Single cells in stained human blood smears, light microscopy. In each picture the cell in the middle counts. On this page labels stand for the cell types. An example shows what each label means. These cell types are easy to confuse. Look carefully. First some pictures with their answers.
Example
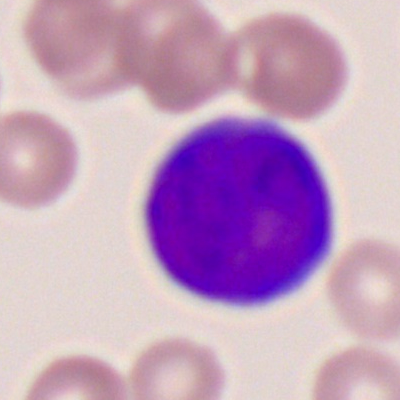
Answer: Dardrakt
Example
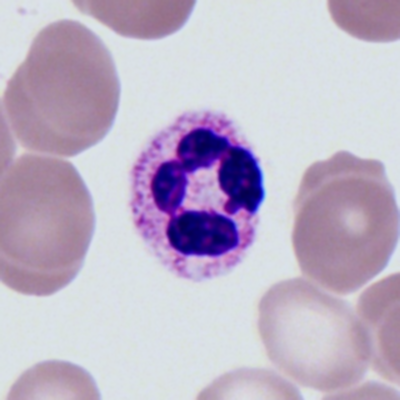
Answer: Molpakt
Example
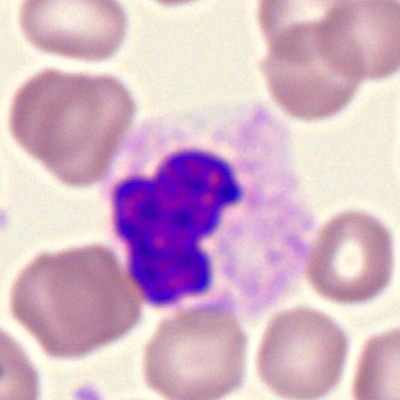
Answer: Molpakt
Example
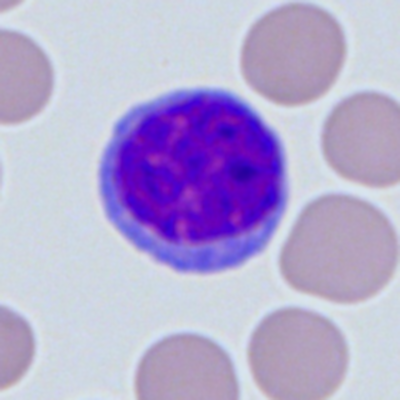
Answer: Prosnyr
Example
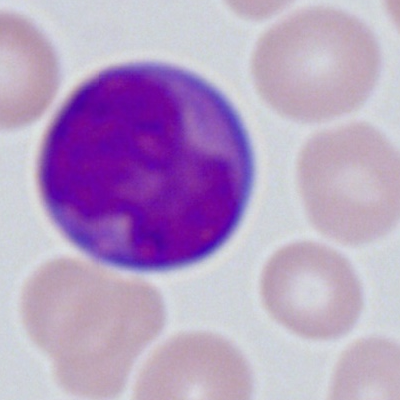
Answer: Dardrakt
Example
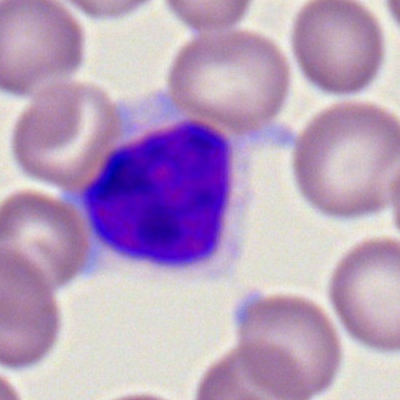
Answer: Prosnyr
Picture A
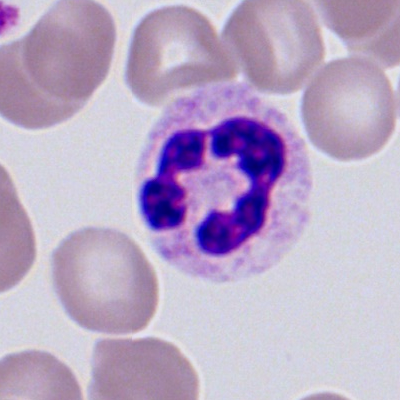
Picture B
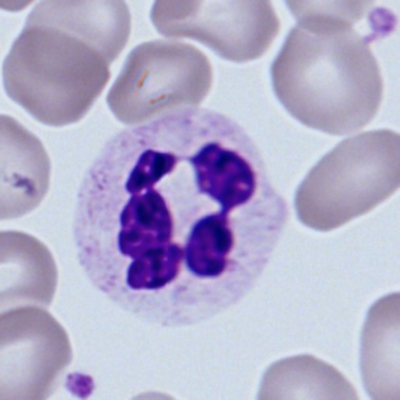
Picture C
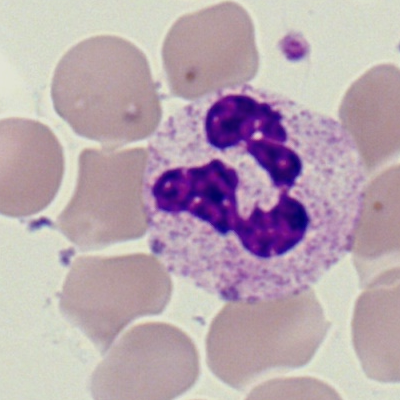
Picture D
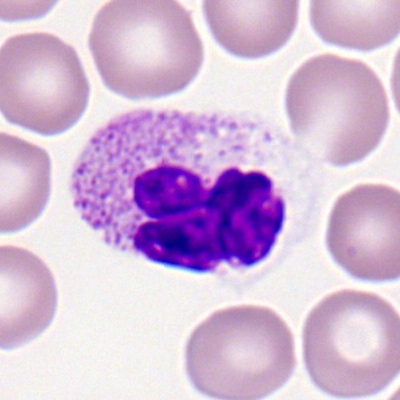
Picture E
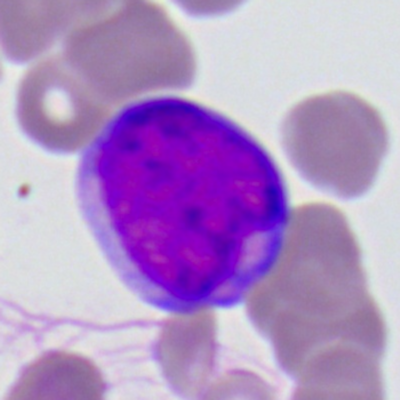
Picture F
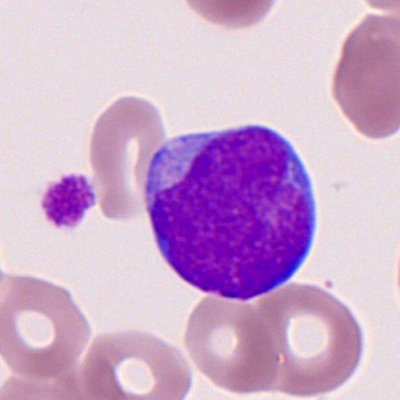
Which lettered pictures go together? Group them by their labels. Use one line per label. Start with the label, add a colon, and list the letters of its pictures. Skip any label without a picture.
Dardrakt: E, F
Molpakt: A, B, C, D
